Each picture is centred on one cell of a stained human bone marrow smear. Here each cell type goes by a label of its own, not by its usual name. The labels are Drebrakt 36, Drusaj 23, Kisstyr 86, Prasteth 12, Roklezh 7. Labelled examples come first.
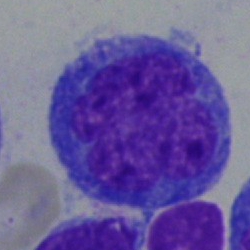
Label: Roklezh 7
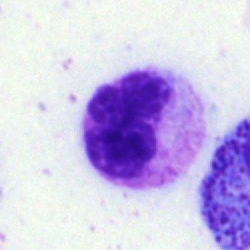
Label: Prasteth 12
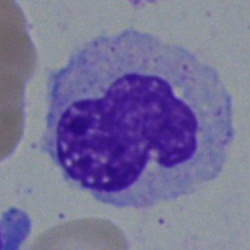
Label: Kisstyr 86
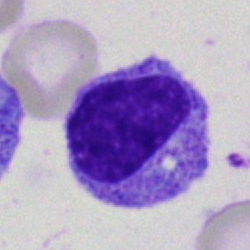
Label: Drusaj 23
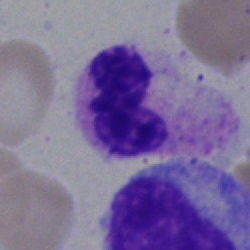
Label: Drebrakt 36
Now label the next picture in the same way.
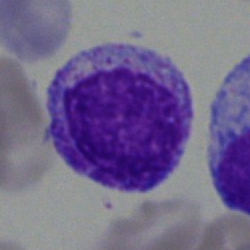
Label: Drusaj 23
